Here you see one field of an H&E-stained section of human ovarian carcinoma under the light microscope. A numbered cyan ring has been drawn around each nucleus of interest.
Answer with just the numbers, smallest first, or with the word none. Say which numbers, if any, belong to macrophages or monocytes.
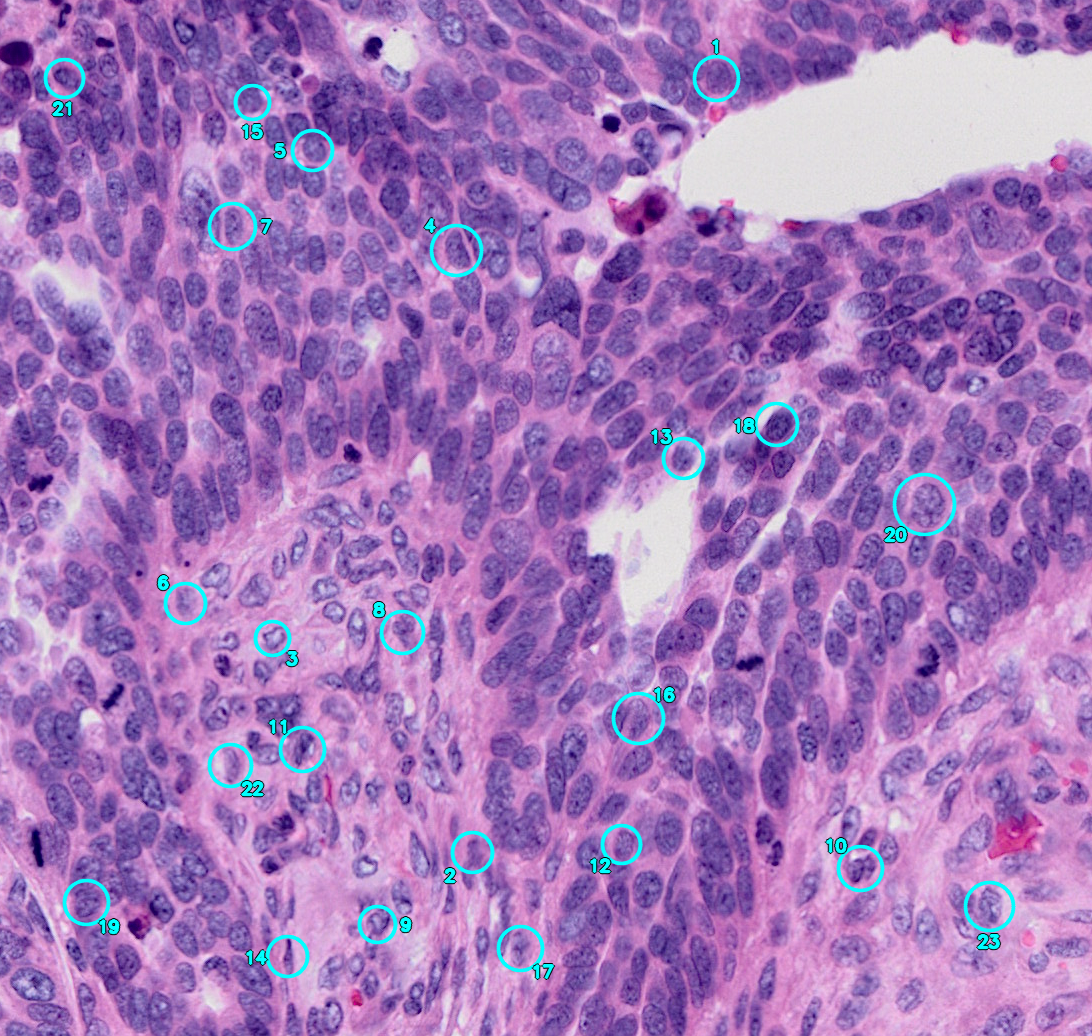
10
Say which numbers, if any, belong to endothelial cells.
9, 11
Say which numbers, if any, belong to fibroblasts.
2, 3, 6, 8, 14, 17, 22, 23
